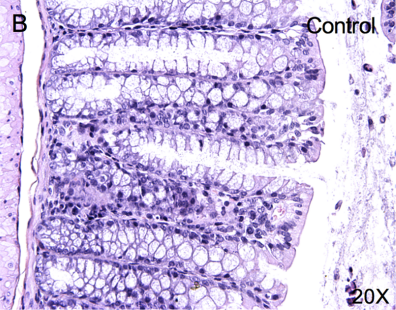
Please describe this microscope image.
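This is normal colonic mucosa with long straight crypts standing side by side in parallel rows. The crypts are lined by columnar epithelial cells with dark basal nuclei and are full of pale, clear-looking goblet cells. Only a thin band of lamina propria with a few cells separates neighbouring crypts, and the thin muscle layer runs along the base at the left. There is no crowding of inflammatory cells or bleeding.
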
